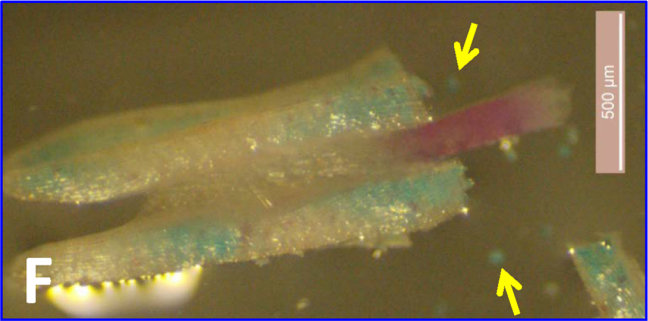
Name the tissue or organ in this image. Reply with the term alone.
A: Anther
